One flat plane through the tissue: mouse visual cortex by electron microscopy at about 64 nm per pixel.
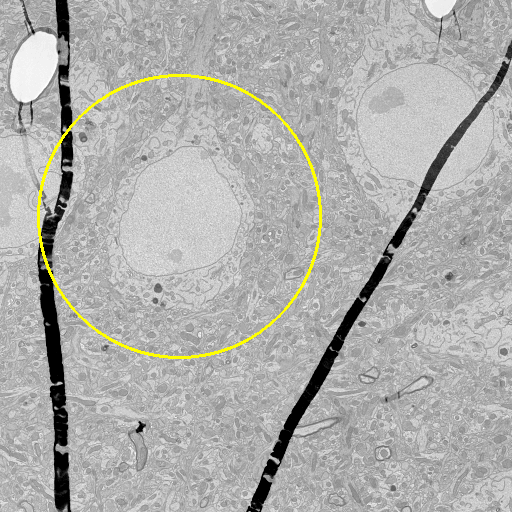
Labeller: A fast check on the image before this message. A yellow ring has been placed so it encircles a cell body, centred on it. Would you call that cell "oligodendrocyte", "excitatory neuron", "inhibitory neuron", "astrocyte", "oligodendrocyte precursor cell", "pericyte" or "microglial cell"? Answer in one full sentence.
In this image, an excitatory neuron is the cell on which the yellow ring is centred.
